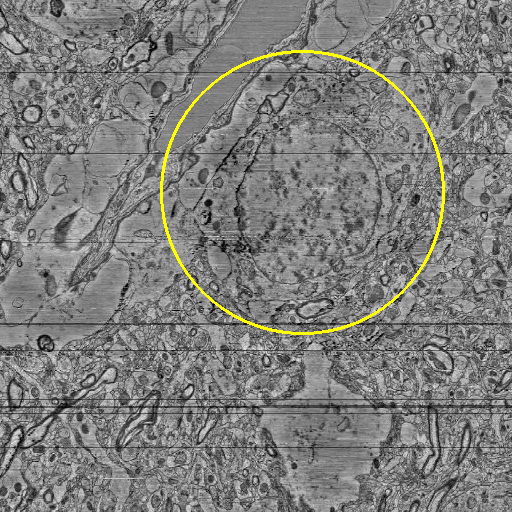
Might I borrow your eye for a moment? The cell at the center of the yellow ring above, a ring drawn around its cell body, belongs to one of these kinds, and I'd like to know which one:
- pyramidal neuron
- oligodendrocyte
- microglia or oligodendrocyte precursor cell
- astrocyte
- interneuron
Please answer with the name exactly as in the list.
pyramidal neuron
